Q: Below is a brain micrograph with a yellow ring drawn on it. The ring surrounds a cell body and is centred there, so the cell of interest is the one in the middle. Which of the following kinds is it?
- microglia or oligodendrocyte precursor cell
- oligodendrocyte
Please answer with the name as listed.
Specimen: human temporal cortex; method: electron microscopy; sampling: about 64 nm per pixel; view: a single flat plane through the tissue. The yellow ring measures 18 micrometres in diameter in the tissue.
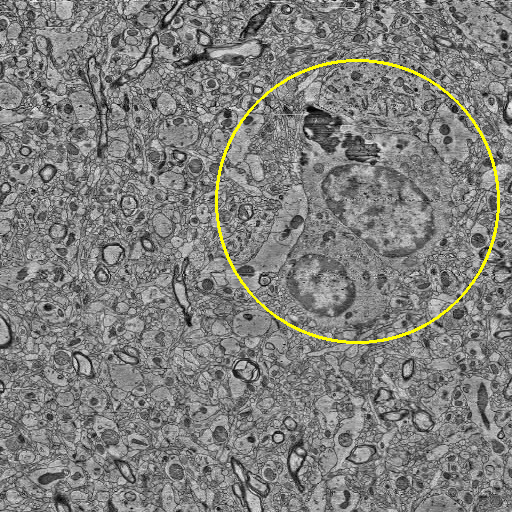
oligodendrocyte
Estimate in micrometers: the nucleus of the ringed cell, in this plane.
About 8 by 5 micrometres in this plane.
